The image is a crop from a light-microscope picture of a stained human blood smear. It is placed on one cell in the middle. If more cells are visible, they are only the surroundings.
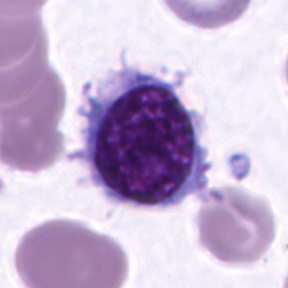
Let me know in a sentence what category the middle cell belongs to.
This crop is built around a plasma cell at its centre.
